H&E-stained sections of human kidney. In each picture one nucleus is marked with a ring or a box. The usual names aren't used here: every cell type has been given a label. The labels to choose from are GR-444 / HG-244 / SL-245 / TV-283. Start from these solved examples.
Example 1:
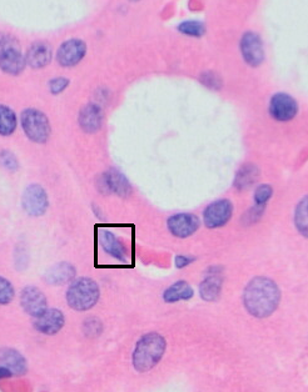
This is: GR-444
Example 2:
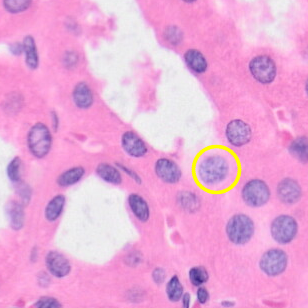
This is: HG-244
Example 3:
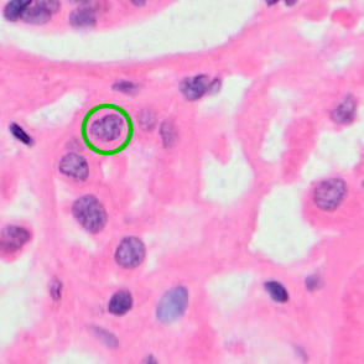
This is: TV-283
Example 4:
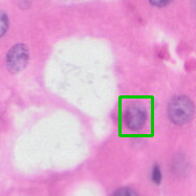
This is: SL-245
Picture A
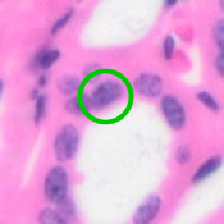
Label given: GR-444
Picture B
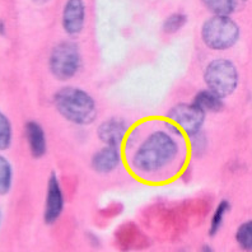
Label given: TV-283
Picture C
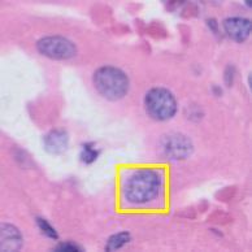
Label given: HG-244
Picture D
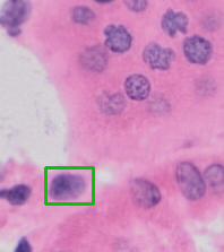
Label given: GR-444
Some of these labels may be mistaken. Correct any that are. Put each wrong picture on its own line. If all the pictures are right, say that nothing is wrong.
A: TV-283, not GR-444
